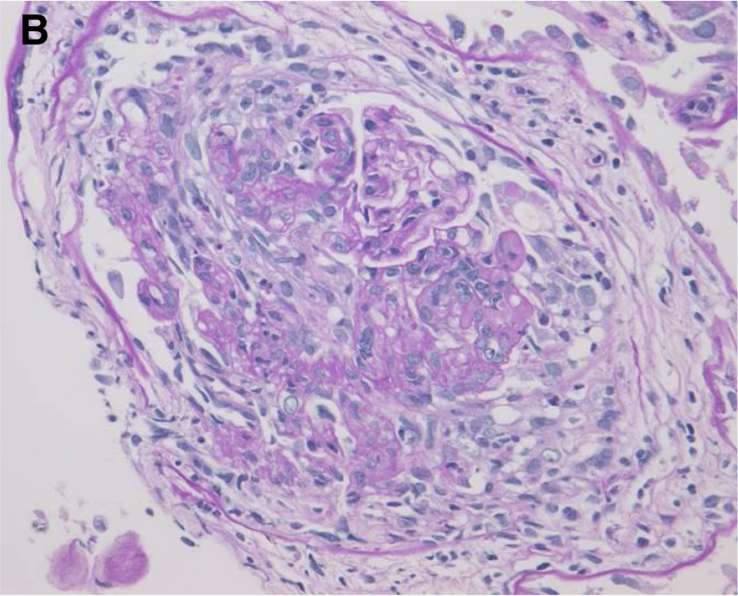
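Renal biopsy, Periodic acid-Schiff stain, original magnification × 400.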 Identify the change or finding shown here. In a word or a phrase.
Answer: Cellular crescent formation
